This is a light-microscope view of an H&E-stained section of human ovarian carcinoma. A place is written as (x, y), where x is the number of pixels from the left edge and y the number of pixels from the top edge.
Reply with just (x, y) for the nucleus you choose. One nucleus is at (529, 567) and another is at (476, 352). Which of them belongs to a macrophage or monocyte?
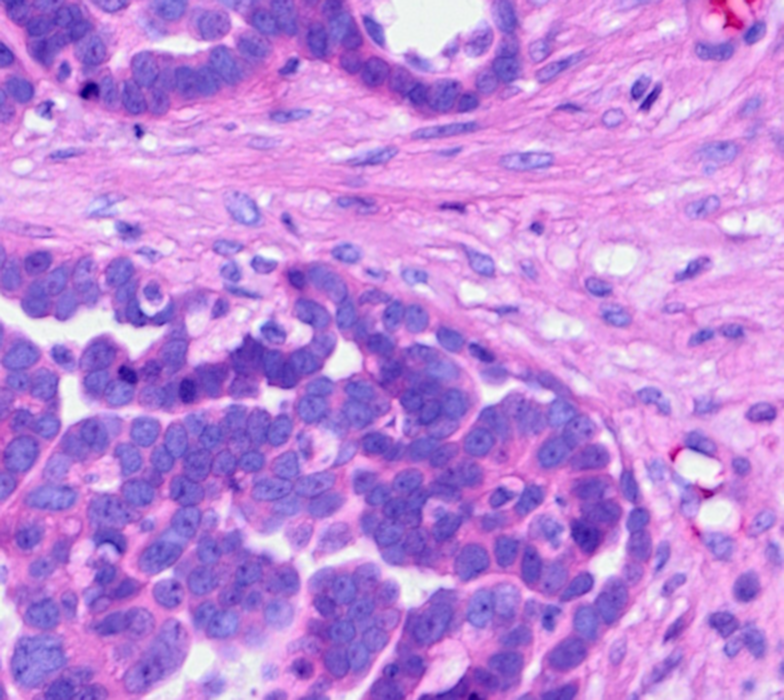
(476, 352)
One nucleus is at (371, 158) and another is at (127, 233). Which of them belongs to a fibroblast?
(371, 158)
